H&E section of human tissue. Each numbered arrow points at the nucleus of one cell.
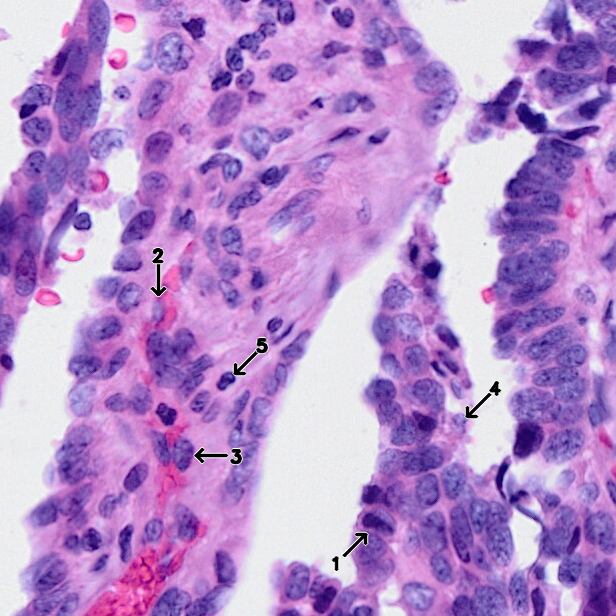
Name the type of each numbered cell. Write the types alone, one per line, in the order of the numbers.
carcinoma cell
endothelial cell
endothelial cell
macrophage or monocyte
lymphocyte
